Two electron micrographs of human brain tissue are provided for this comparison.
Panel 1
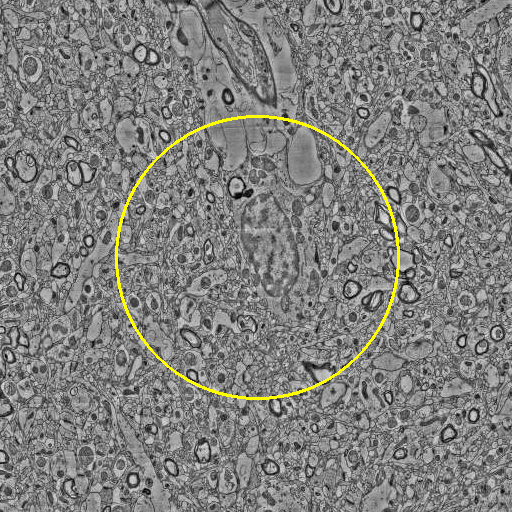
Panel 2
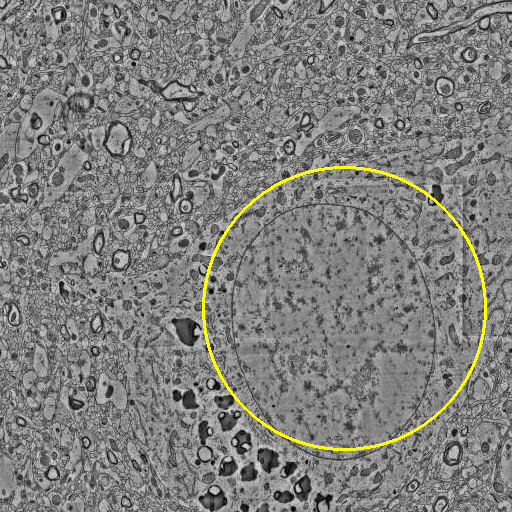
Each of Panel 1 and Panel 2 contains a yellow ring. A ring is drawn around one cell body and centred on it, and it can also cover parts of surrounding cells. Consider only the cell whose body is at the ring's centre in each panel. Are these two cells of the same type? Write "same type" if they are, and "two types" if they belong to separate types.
two types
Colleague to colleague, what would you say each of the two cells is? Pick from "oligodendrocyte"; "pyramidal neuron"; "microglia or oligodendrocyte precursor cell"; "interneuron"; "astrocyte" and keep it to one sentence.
The cell in the first picture is an oligodendrocyte; the second picture's cell is a pyramidal neuron.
